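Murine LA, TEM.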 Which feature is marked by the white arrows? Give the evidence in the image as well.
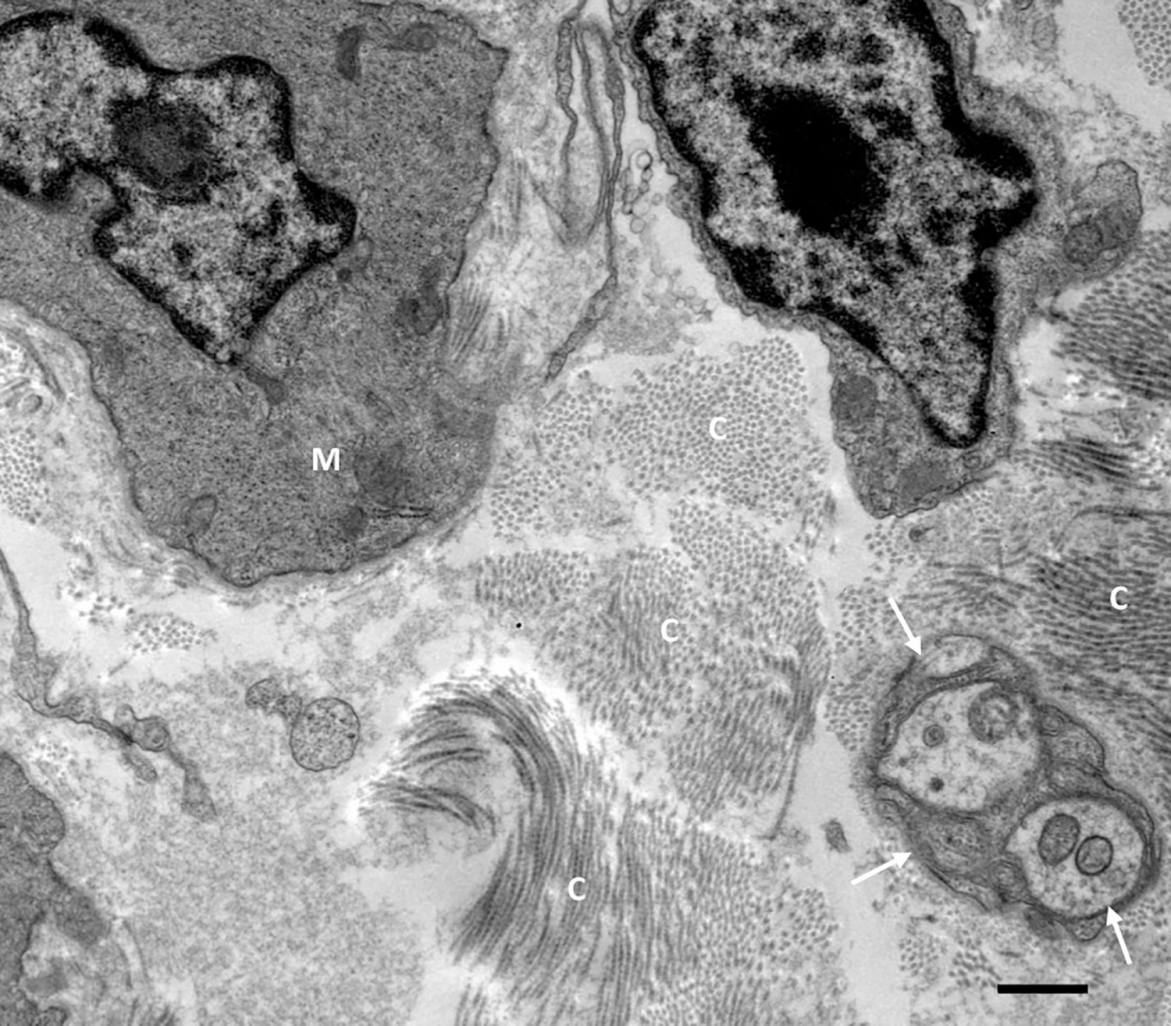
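Nerve fiber bundle. A small cluster of round profiles is wrapped together by thin cytoplasmic sheaths. Some of the round profiles contain small vesicles and mitochondria. The cluster is much smaller than the neighbouring cells and lies among collagen bundles.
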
